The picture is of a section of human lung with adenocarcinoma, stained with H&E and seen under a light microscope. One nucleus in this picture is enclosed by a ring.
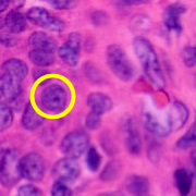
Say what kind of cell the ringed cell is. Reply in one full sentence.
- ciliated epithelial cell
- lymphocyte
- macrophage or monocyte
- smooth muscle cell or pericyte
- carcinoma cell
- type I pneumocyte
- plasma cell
In this section of tissue, the ringed cell is a ciliated epithelial cell.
